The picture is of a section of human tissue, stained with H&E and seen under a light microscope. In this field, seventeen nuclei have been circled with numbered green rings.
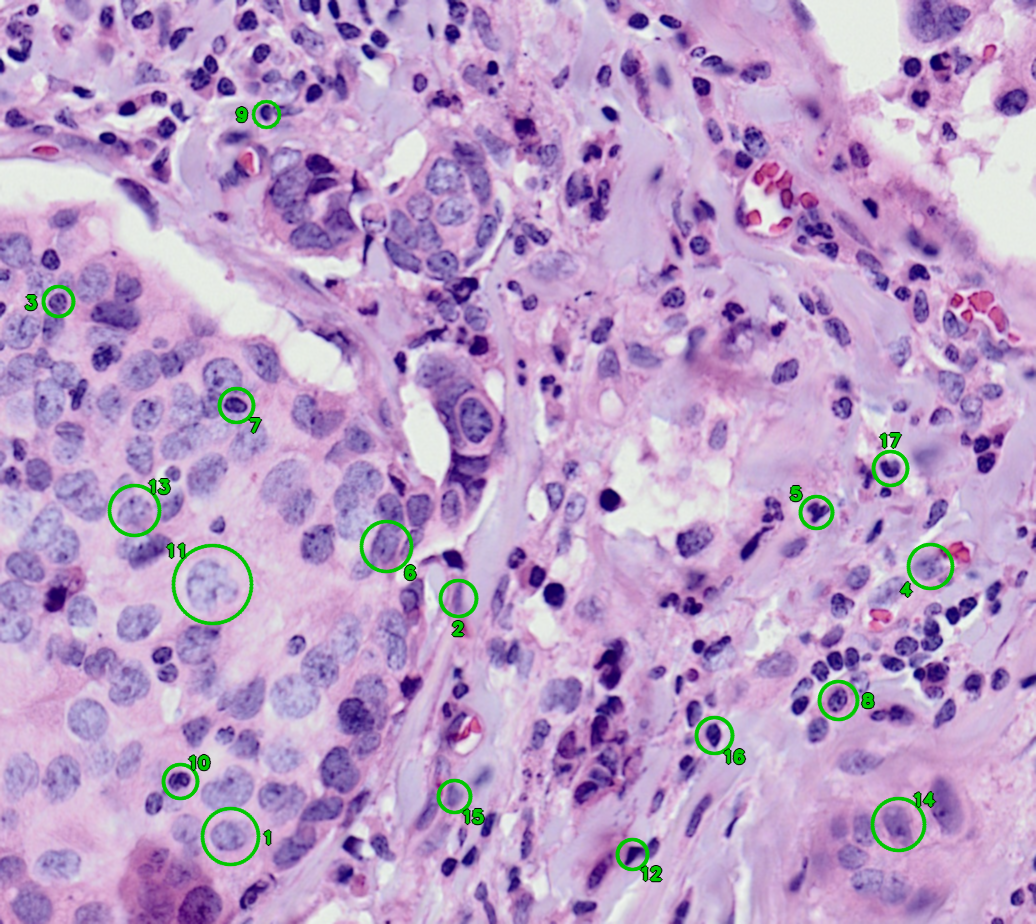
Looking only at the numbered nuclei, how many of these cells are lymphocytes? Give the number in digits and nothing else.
8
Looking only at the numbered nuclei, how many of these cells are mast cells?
1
